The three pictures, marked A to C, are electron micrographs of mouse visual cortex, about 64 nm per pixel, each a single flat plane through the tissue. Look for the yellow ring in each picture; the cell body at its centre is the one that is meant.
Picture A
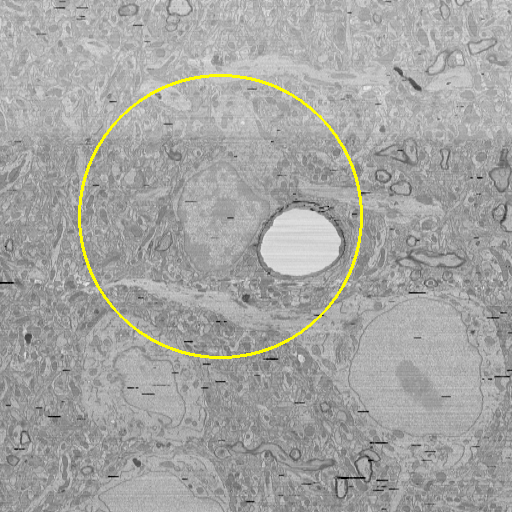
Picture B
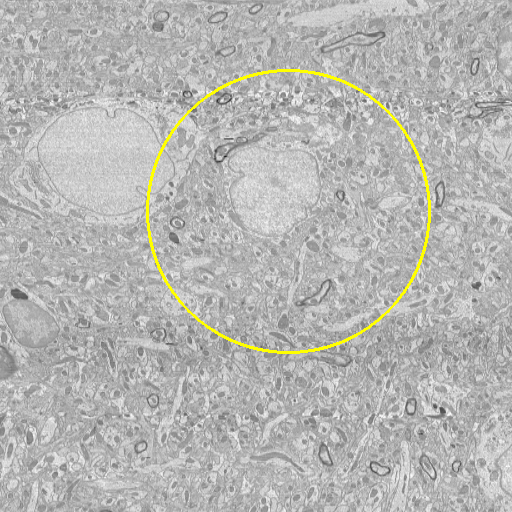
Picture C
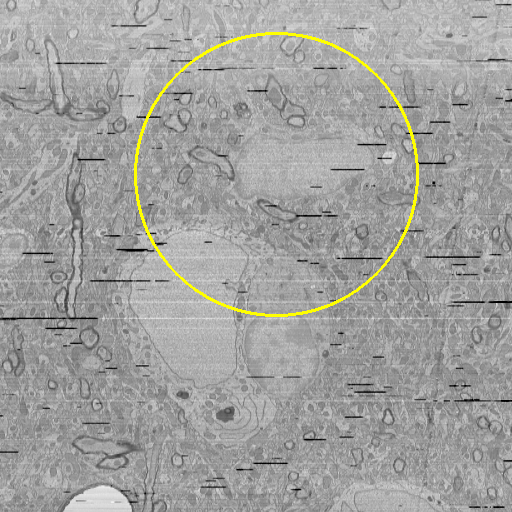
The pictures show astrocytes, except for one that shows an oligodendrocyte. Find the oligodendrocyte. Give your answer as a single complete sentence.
Picture A shows the oligodendrocyte.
